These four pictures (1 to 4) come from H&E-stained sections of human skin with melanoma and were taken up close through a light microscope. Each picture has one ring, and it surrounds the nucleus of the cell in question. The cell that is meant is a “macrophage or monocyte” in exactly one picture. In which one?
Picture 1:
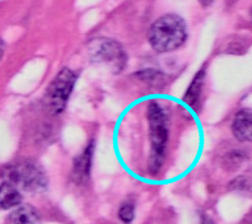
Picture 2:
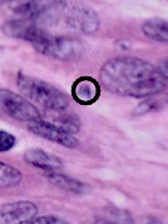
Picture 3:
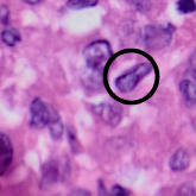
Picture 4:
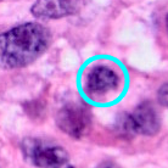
3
